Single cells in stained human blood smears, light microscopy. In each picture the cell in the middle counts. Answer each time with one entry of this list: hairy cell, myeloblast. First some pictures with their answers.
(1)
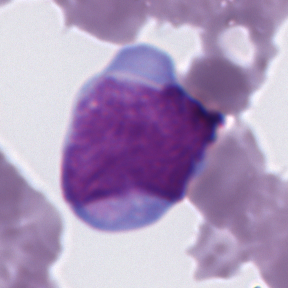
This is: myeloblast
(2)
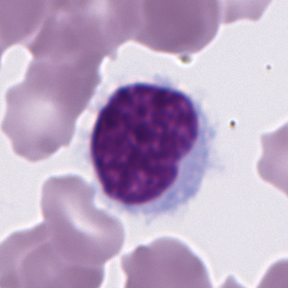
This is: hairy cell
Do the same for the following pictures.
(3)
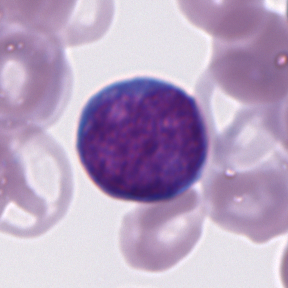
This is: myeloblast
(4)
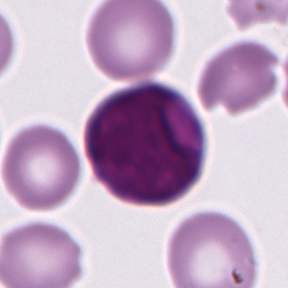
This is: myeloblast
